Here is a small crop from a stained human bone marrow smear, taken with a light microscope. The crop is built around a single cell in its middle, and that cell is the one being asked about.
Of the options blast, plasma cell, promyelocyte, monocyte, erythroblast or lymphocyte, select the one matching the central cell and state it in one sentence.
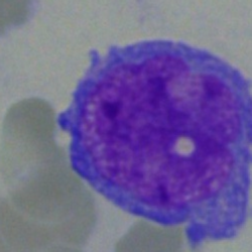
In this smear crop, the middle cell is a blast.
